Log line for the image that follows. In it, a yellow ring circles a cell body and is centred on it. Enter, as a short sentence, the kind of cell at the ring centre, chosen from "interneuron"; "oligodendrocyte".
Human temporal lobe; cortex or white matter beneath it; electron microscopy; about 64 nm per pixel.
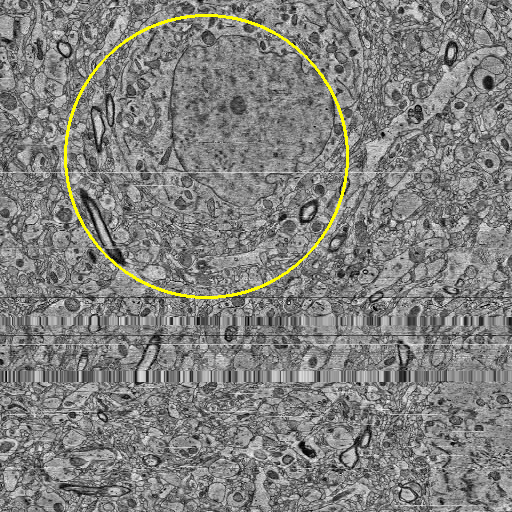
The ring centre is occupied by an interneuron.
